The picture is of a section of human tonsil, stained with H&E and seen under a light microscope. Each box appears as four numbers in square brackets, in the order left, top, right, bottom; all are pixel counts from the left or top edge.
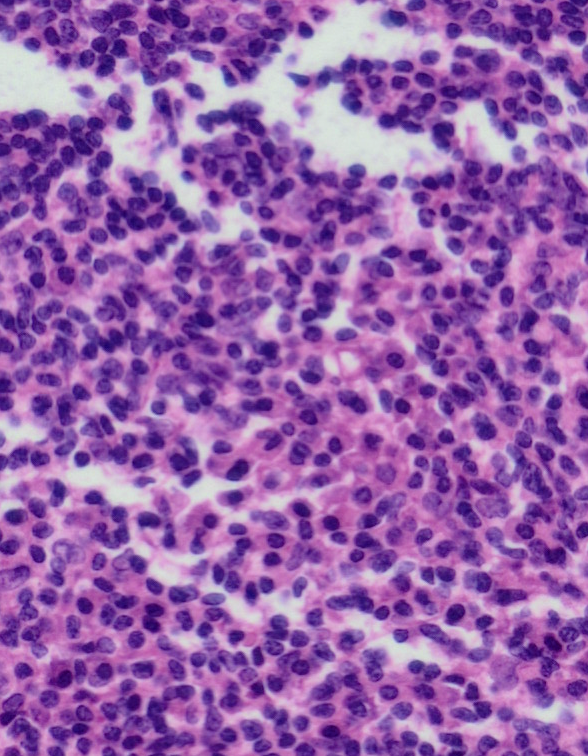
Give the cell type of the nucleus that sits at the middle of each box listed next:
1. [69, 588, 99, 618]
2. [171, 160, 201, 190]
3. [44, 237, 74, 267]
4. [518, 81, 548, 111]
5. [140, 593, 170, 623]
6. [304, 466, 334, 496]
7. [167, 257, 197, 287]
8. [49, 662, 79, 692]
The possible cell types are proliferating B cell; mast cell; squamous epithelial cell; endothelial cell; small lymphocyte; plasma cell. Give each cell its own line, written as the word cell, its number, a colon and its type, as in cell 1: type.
cell 1: plasma cell
cell 2: small lymphocyte
cell 3: small lymphocyte
cell 4: small lymphocyte
cell 5: plasma cell
cell 6: plasma cell
cell 7: small lymphocyte
cell 8: plasma cell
